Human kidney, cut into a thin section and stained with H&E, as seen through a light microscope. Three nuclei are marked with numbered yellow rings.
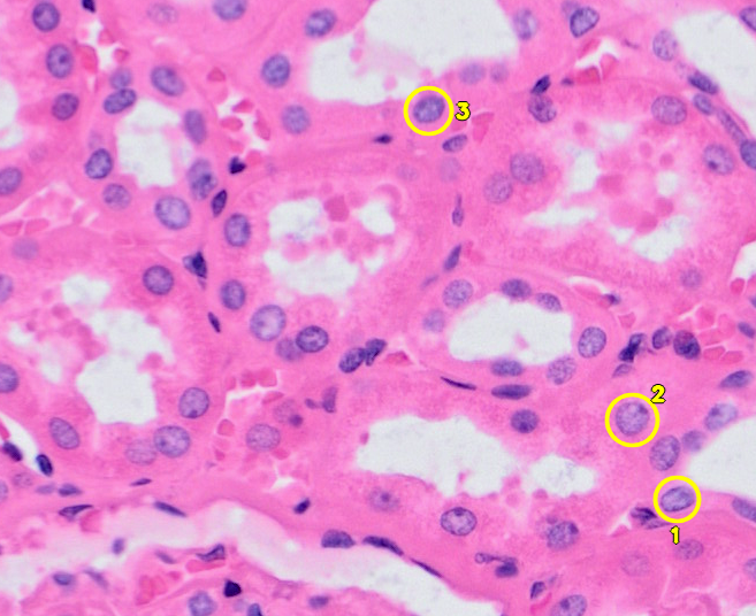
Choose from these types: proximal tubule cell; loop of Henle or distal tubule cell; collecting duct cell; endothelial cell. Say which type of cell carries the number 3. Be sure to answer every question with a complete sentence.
That cell with number 3 is a loop of Henle or distal tubule cell.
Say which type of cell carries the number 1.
Recognised here as a collecting duct cell is the cell numbered 1.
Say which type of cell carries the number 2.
The cell indicated with the number 2 is classed as a proximal tubule cell.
